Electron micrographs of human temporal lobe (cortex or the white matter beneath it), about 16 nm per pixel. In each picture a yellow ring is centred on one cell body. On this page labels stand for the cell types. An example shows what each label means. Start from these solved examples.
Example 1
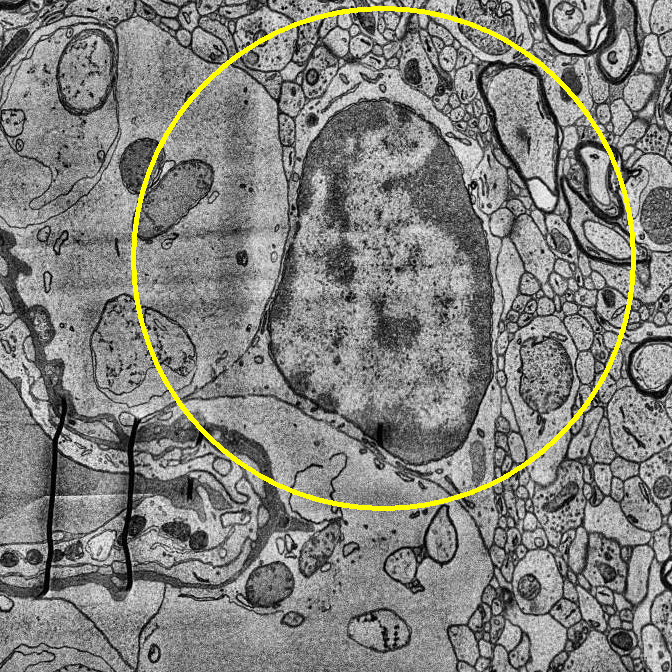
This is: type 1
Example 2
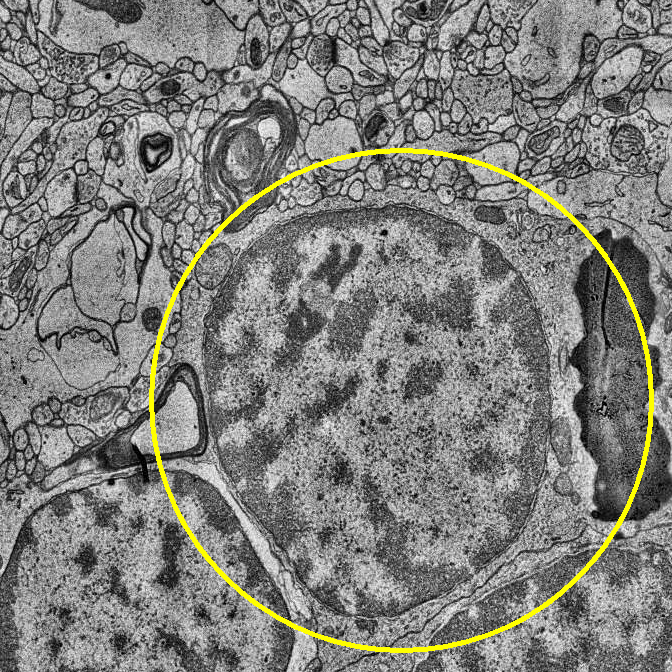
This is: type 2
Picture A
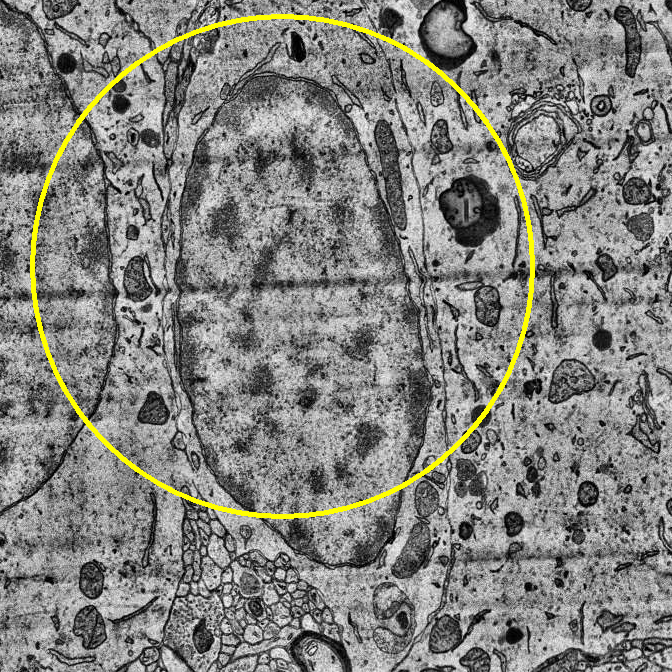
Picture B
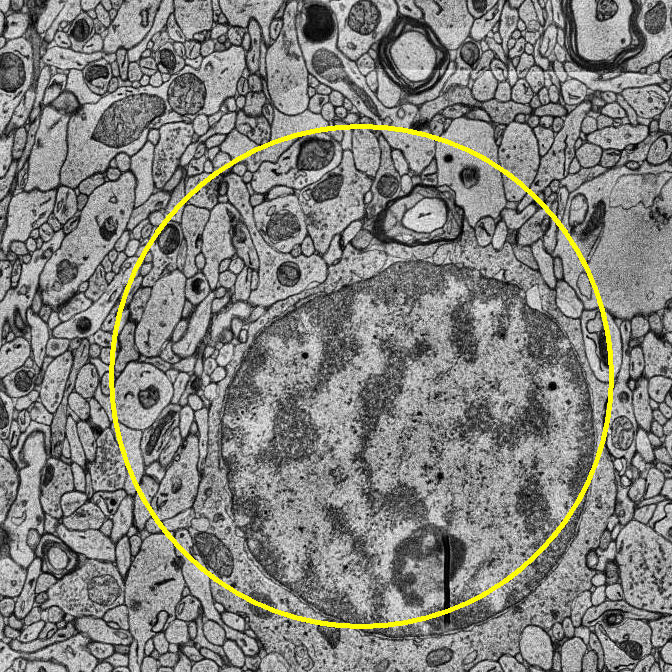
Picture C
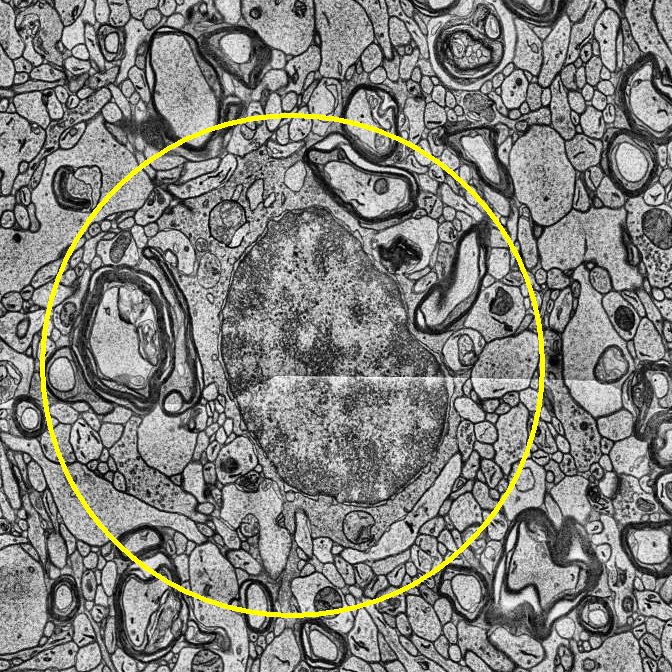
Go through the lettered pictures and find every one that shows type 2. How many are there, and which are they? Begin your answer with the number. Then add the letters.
2: B, C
